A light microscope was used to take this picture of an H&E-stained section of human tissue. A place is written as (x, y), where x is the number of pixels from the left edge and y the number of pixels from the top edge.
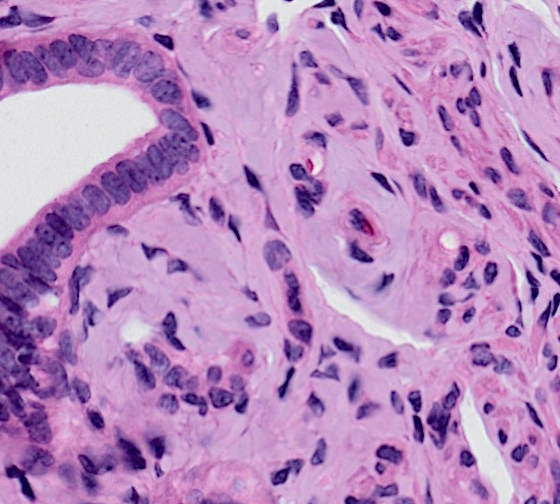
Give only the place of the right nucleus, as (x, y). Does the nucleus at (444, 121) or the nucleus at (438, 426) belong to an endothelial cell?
(438, 426)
